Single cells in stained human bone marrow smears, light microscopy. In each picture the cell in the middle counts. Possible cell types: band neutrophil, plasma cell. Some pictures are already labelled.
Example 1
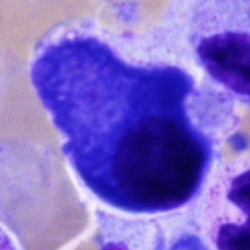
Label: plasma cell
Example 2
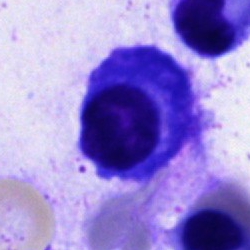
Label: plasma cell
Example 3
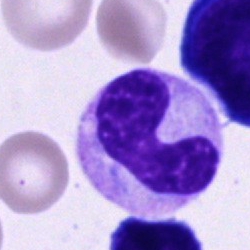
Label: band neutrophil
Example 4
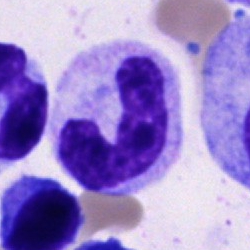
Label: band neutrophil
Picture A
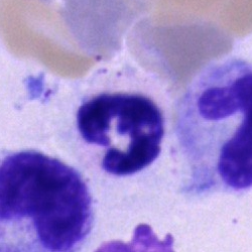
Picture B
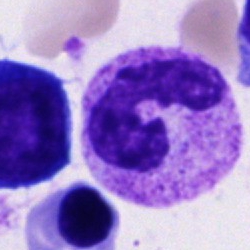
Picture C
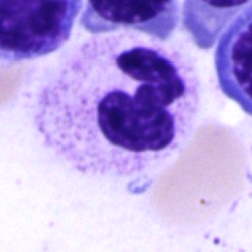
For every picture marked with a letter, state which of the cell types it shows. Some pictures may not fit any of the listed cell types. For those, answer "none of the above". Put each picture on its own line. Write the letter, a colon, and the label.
A: none of the above
B: band neutrophil
C: none of the above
